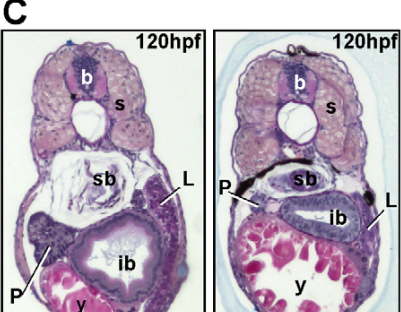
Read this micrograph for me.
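Transverse sections through the larval trunk show neural tissue dorsally, flanked by somite muscle, with the swim bladder beneath and the intestinal bulb, liver and pancreas around the pink-red yolk. In the left section the intestinal bulb is wide with an epithelium thrown into folds, while in the right section the bulb is small with a thin, flat epithelium and the liver and pancreas are smaller.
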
